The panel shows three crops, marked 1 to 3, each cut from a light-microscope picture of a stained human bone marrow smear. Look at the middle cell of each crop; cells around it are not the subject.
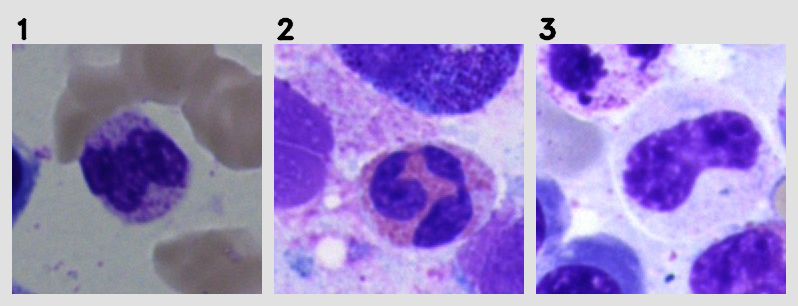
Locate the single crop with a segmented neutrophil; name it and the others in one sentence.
In crop 1 the cell is a segmented neutrophil, whereas crop 2 is an eosinophil and crop 3 is a band neutrophil.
